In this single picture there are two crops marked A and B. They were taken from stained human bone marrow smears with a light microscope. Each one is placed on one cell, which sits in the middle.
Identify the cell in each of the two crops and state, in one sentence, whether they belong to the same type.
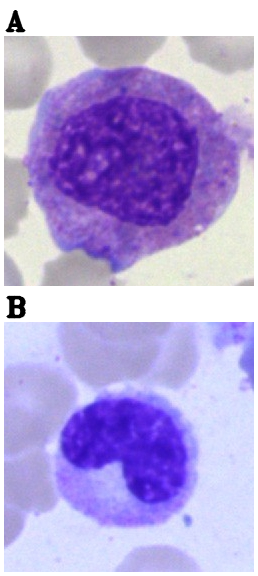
No, crop A contains an eosinophil, whereas crop B contains a metamyelocyte.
